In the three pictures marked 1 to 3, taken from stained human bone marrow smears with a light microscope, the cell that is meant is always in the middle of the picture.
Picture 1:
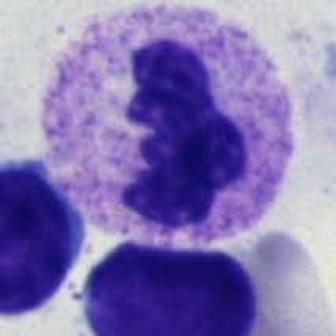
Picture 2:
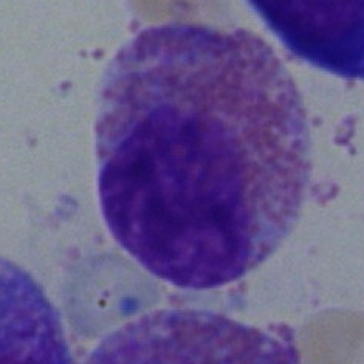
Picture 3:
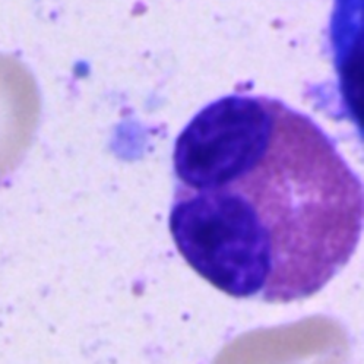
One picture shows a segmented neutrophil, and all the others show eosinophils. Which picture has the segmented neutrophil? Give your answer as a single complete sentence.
The segmented neutrophil is the one in picture 1.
